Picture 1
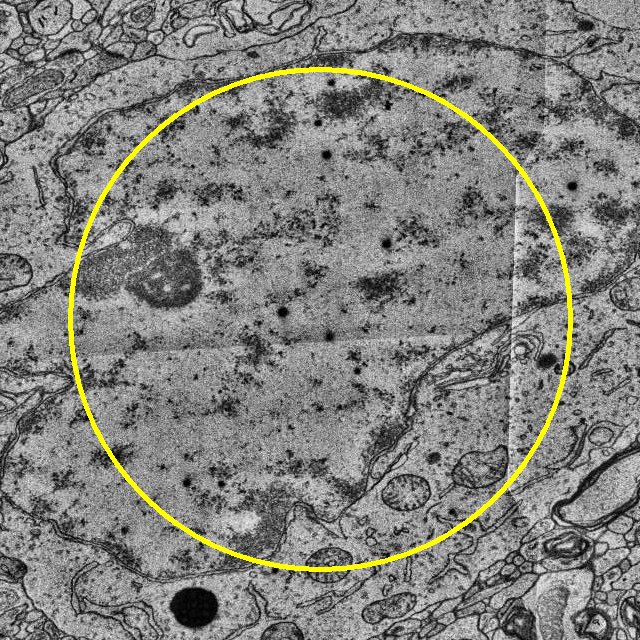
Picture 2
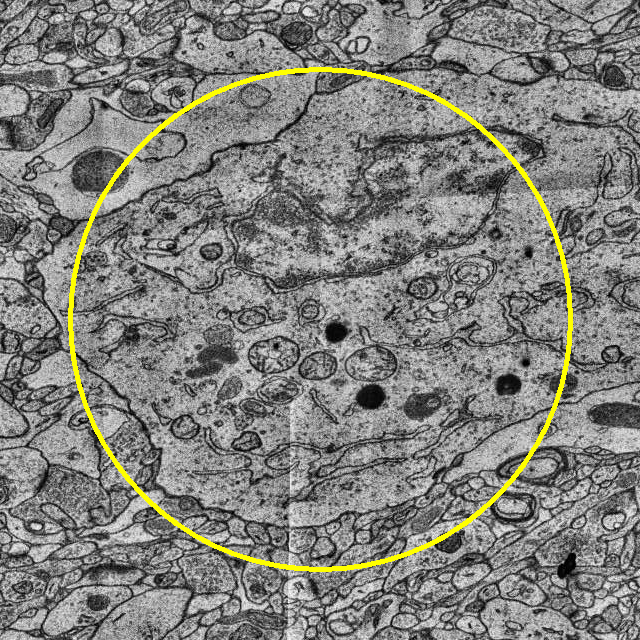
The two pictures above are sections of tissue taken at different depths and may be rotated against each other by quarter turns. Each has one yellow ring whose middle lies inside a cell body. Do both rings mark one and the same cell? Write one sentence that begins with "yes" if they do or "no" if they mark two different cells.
Yes, the same individual cell is enclosed by both rings.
